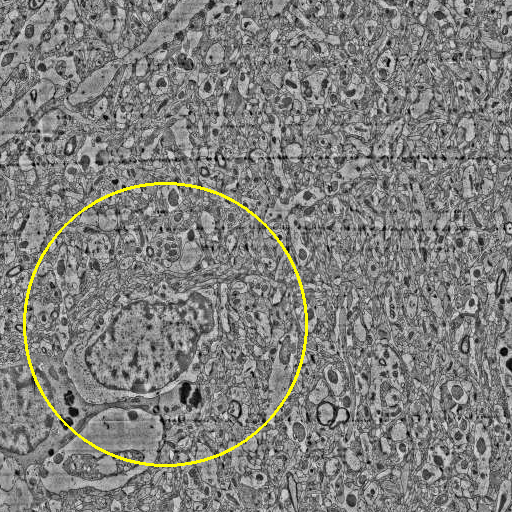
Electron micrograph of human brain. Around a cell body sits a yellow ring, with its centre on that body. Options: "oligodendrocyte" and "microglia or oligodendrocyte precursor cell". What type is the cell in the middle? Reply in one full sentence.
The cell sitting at the centre of the yellow ring is a microglial cell or oligodendrocyte precursor cell.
